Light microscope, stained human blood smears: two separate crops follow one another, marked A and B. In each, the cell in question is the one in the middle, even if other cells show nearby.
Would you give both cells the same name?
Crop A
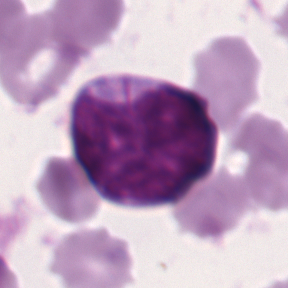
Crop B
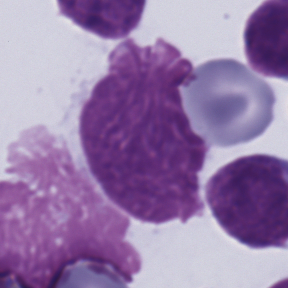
no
